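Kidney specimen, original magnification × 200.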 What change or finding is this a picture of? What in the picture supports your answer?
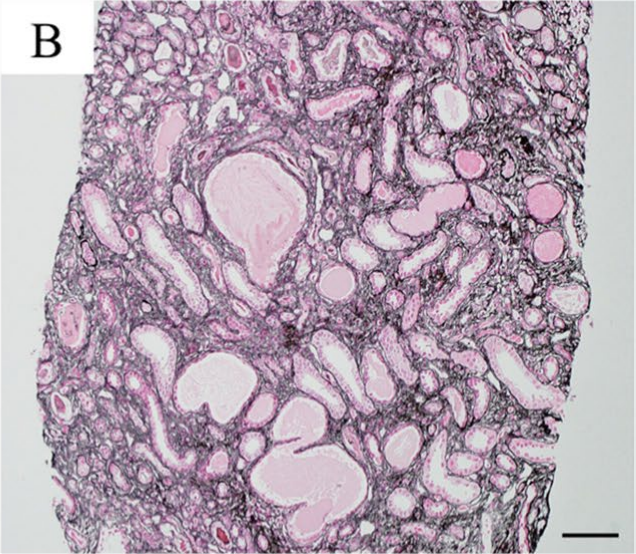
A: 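Cystic dilatations of the tubules. Many tubules have greatly widened, rounded lumens. Several widened lumens are filled with pale pink homogeneous material. The tubules are separated by broad dark fibrous interstitium.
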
